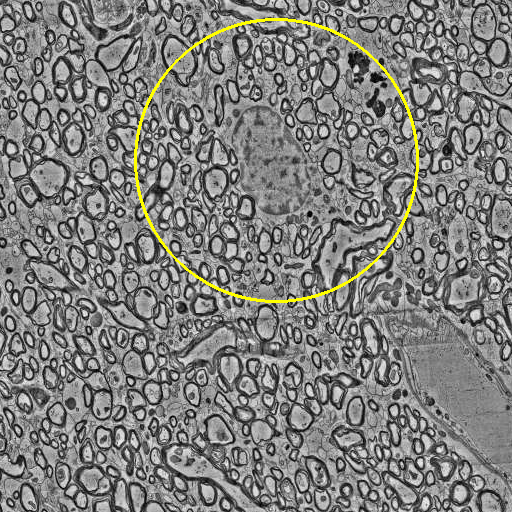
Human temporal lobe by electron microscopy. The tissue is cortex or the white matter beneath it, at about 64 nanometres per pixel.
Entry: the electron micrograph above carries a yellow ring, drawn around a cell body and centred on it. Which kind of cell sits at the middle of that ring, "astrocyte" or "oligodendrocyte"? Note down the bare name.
oligodendrocyte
